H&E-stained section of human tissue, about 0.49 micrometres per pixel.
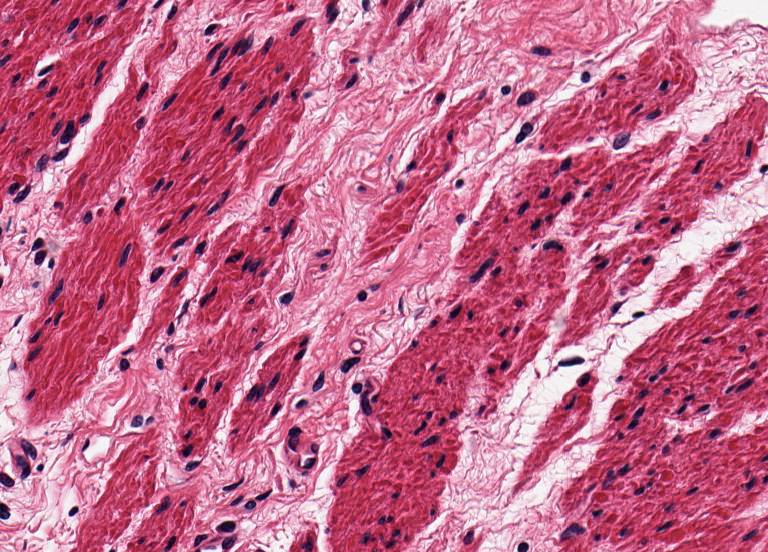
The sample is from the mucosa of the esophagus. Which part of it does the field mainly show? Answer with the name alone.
smooth muscle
